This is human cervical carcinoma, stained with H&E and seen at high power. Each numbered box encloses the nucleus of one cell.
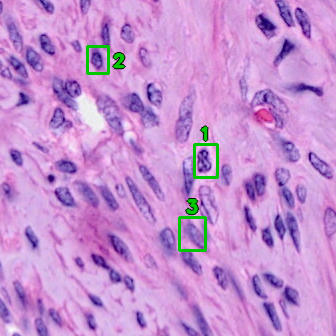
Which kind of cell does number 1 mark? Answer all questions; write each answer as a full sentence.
The correct label for cell 1 is a lymphocyte.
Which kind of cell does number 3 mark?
Cell 3 should be recorded as a smooth muscle cell.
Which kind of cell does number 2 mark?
The cell marked with the number 2 is a smooth muscle cell.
